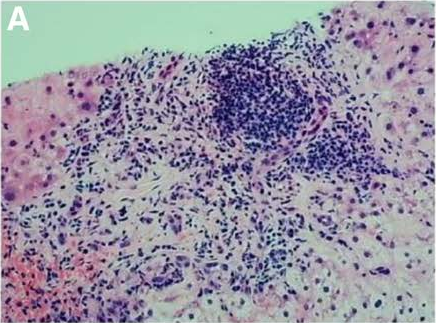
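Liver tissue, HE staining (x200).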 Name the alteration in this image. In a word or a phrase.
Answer: Interface hepatitis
